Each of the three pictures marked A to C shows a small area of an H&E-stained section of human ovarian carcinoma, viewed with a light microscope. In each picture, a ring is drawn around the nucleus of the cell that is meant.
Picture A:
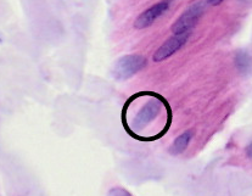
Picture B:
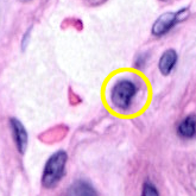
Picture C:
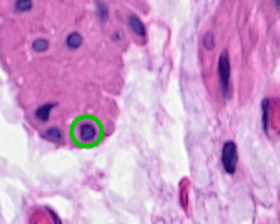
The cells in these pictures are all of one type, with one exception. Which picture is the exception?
B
